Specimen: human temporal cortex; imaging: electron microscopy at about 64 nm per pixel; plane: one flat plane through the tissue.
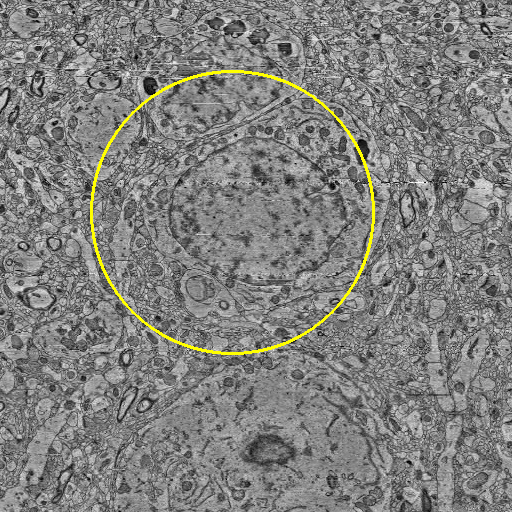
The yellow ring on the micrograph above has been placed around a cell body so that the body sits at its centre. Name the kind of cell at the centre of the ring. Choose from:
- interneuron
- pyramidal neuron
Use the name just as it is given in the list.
interneuron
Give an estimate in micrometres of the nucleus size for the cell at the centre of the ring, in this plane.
The ringed cell's nucleus is about 11 micrometres long and 9 micrometres wide in this plane.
